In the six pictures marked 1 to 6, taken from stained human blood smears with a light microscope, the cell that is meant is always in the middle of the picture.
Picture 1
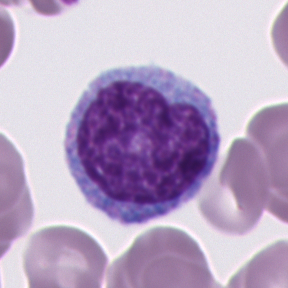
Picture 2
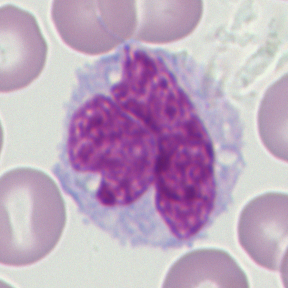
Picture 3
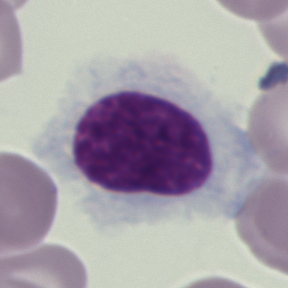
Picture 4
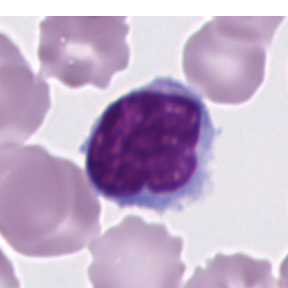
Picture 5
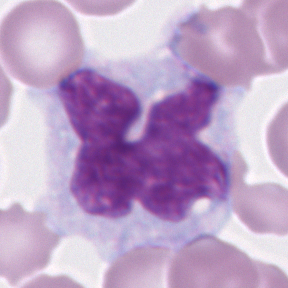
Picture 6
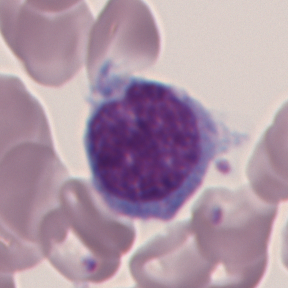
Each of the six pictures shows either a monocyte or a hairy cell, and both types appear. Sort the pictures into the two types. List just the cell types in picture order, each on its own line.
monocyte
monocyte
hairy cell
hairy cell
monocyte
monocyte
